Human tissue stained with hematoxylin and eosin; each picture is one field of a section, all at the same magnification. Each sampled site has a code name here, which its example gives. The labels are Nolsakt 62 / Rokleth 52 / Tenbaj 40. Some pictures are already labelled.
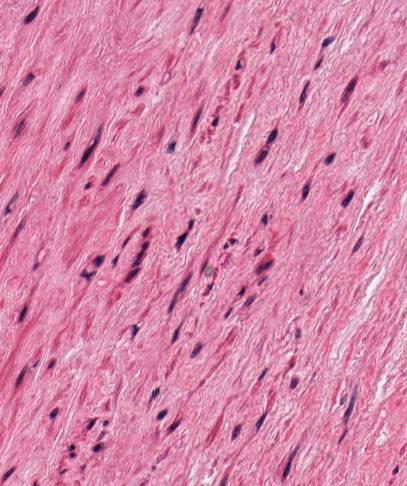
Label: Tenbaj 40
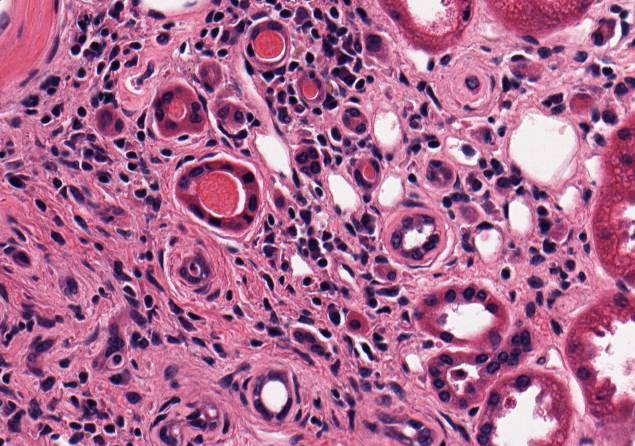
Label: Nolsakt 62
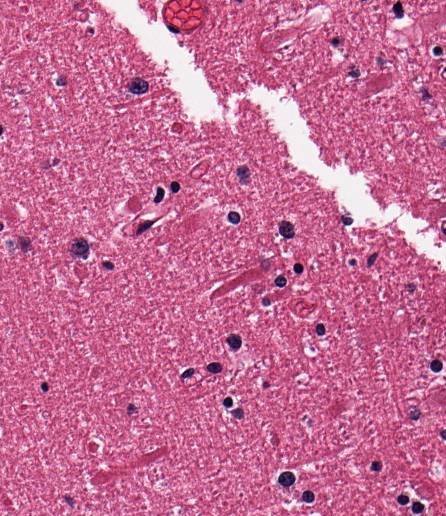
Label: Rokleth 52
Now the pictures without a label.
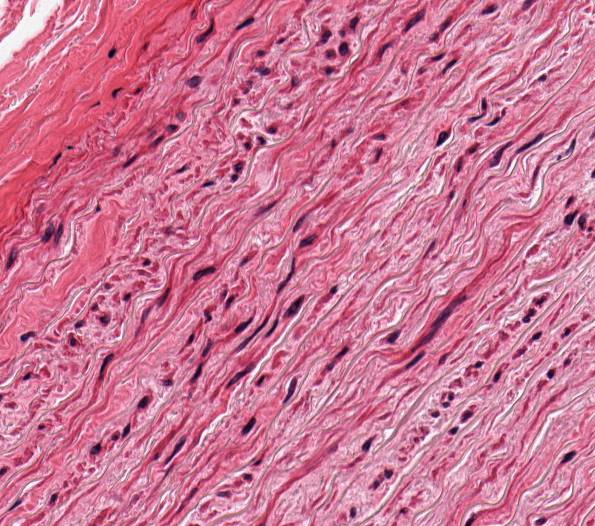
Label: Tenbaj 40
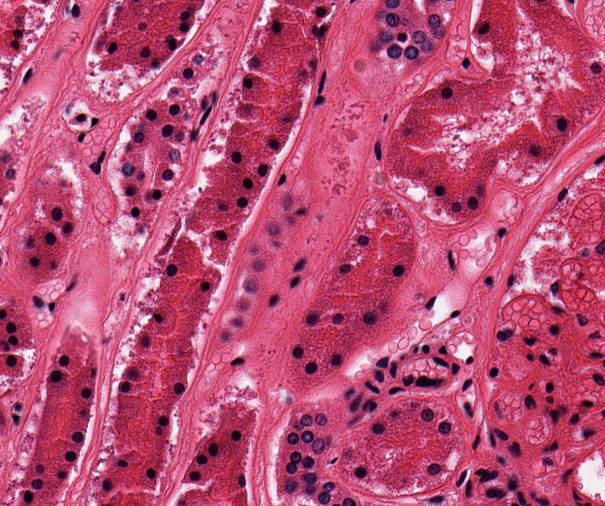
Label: Nolsakt 62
